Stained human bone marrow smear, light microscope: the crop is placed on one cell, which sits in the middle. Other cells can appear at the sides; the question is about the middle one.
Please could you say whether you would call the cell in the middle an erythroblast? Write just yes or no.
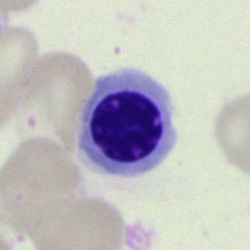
yes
